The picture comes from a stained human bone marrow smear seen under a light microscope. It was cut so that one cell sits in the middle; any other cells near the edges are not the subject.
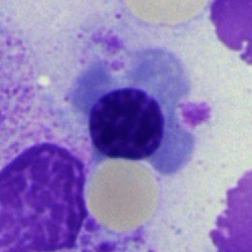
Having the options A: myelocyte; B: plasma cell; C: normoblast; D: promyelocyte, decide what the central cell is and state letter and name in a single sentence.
Option C is the correct selection, for the cell at the centre is a normoblast.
